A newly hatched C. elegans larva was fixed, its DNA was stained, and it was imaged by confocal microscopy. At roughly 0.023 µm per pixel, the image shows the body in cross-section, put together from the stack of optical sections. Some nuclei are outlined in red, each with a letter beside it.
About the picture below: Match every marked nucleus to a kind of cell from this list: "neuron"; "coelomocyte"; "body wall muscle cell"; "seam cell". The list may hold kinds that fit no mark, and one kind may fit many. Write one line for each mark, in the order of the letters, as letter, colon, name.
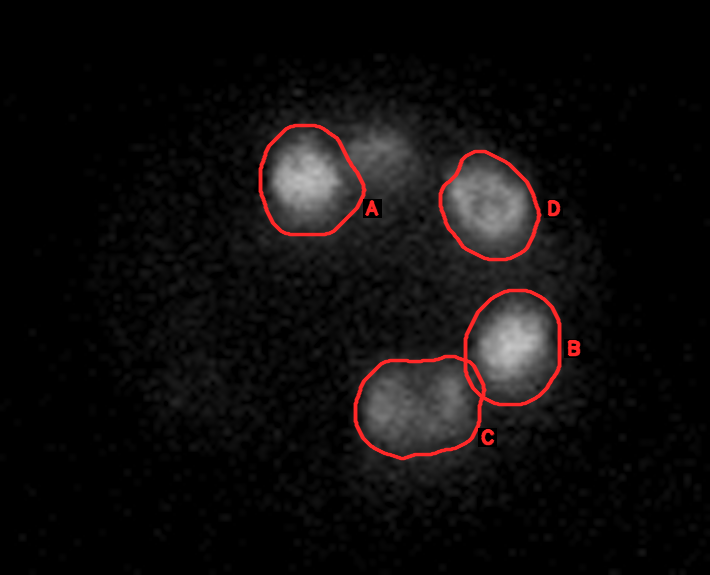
A: neuron
B: coelomocyte
C: seam cell
D: body wall muscle cell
